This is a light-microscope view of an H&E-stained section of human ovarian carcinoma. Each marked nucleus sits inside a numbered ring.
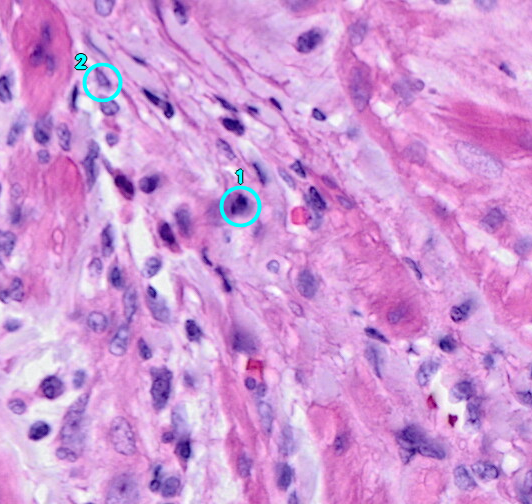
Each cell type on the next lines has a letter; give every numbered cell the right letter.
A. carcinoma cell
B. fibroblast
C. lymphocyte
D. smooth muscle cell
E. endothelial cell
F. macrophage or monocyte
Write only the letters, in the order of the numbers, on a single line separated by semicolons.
C; B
